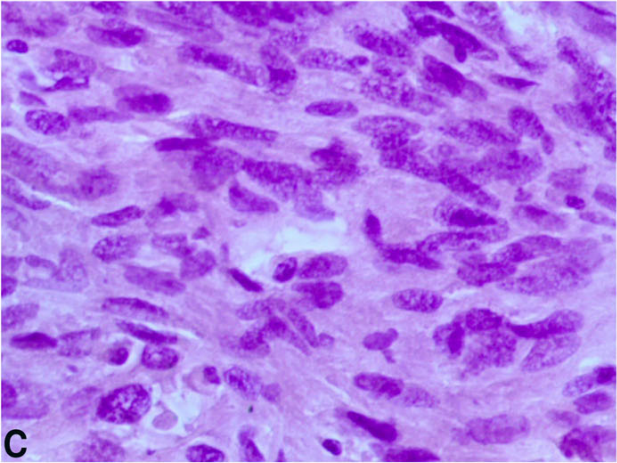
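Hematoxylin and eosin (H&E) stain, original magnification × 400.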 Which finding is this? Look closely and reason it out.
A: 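Nuclear pleomorphism. Spindle and oval nuclei differ in length, width and outline. Several nuclei are enlarged with coarse chromatin.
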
